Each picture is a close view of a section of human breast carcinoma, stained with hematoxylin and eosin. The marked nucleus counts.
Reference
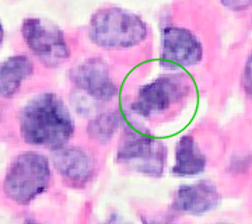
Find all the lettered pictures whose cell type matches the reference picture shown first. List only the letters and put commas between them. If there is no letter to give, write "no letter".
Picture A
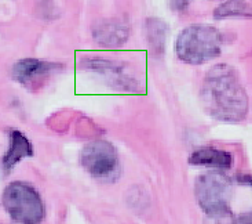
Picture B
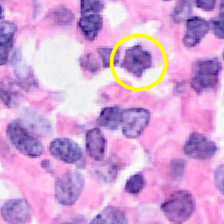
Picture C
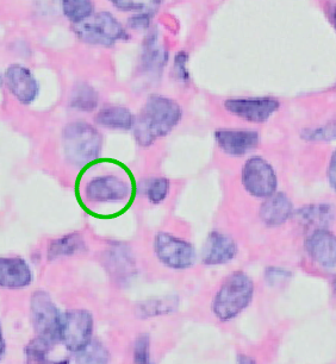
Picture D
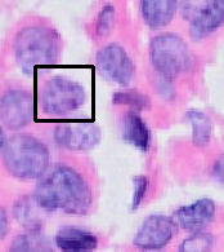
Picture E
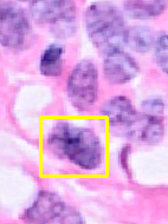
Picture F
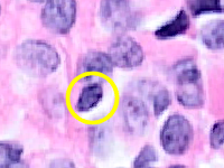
B, C, D, E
